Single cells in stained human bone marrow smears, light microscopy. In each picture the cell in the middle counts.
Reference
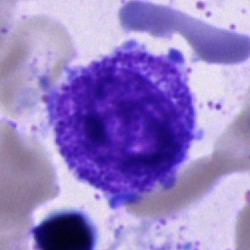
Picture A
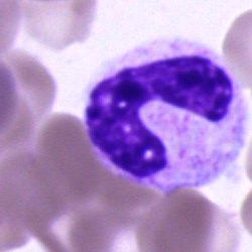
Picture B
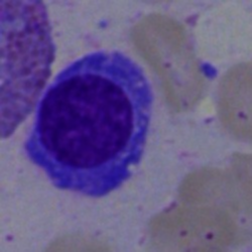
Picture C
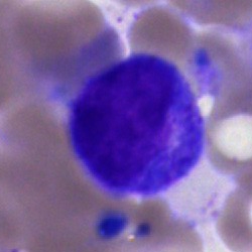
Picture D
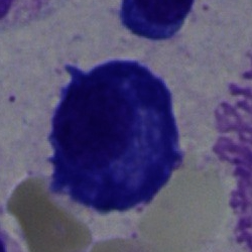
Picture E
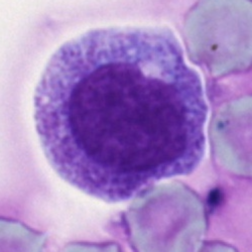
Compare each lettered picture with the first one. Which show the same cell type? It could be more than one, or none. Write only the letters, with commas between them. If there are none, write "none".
C, E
